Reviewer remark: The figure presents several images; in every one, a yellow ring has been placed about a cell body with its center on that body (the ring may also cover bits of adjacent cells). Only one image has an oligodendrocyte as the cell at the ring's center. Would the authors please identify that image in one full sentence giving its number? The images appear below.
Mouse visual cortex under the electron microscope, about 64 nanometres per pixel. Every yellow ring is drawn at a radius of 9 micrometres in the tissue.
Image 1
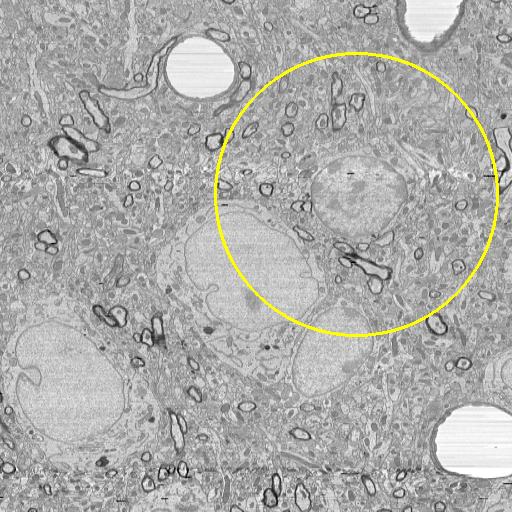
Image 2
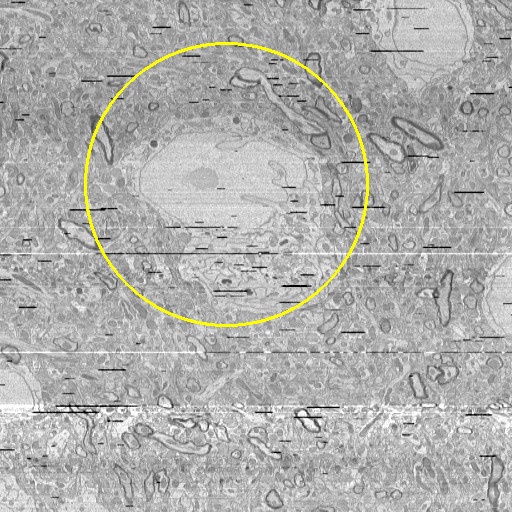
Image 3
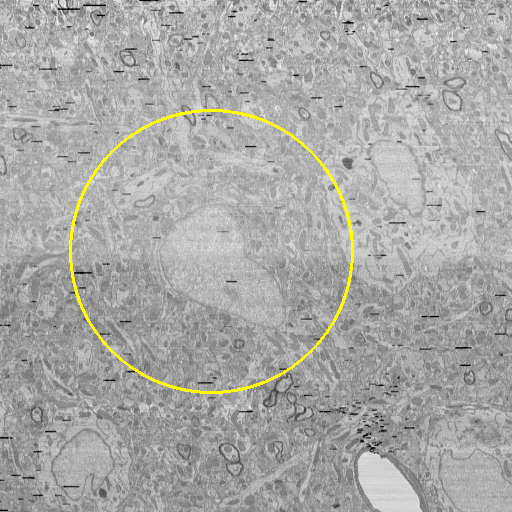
The ring's central cell in image 1 is the one the question describes.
